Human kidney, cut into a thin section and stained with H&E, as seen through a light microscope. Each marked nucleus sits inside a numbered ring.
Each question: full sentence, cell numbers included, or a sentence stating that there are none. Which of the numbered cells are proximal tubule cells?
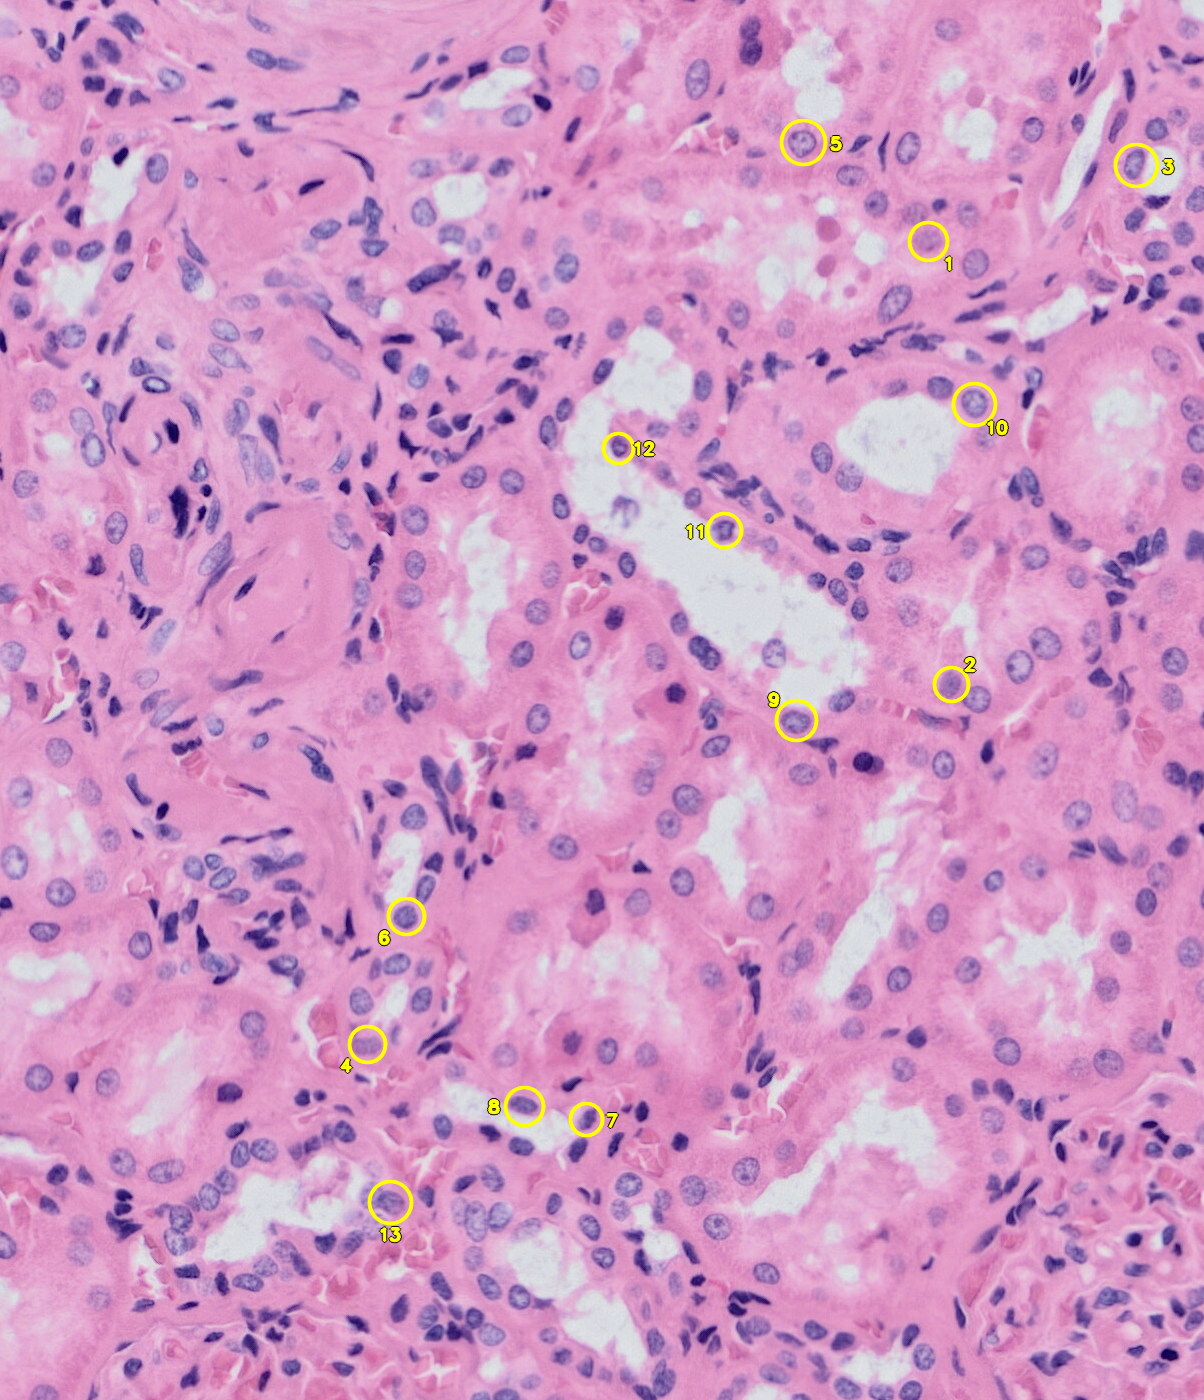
The cells marked with the numbers 1, 2 and 5 are proximal tubule cells.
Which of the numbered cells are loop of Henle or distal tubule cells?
Into the category of loop of Henle or distal tubule cells fall the cells numbered 3, 7, 8, 9, 10, 11 and 12.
